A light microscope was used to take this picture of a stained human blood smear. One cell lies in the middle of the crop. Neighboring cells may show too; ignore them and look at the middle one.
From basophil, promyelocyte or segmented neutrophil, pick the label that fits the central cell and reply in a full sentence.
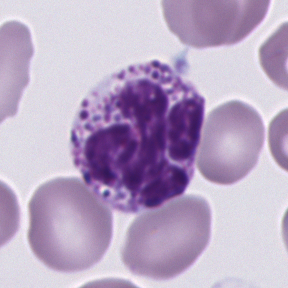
The cell at the central position in this crop is a basophil.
